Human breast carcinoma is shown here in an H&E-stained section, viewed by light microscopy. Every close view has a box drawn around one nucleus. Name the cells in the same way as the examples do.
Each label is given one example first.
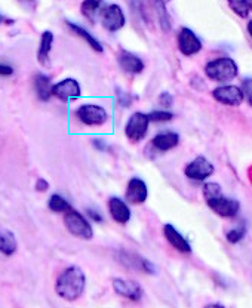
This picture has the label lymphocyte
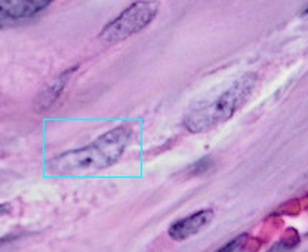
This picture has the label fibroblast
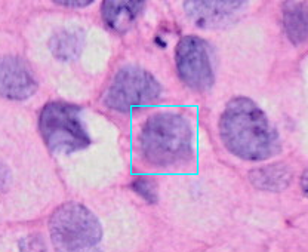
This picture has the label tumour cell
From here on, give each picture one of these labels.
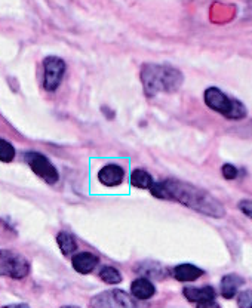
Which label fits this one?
lymphocyte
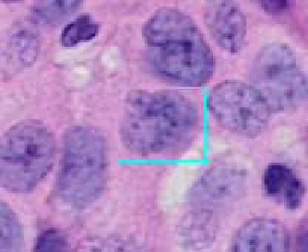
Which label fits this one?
tumour cell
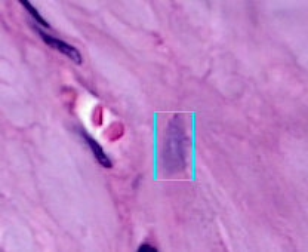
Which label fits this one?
fibroblast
